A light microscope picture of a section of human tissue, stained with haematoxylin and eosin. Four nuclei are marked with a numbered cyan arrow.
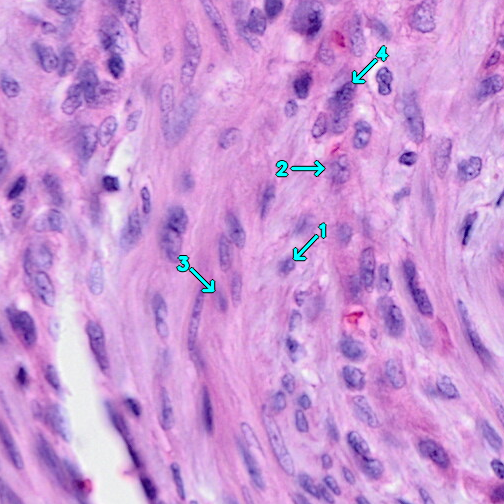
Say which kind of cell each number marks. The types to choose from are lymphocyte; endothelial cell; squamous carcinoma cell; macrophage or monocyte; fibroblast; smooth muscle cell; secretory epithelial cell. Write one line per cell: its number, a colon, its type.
1: smooth muscle cell
2: endothelial cell
3: smooth muscle cell
4: endothelial cell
